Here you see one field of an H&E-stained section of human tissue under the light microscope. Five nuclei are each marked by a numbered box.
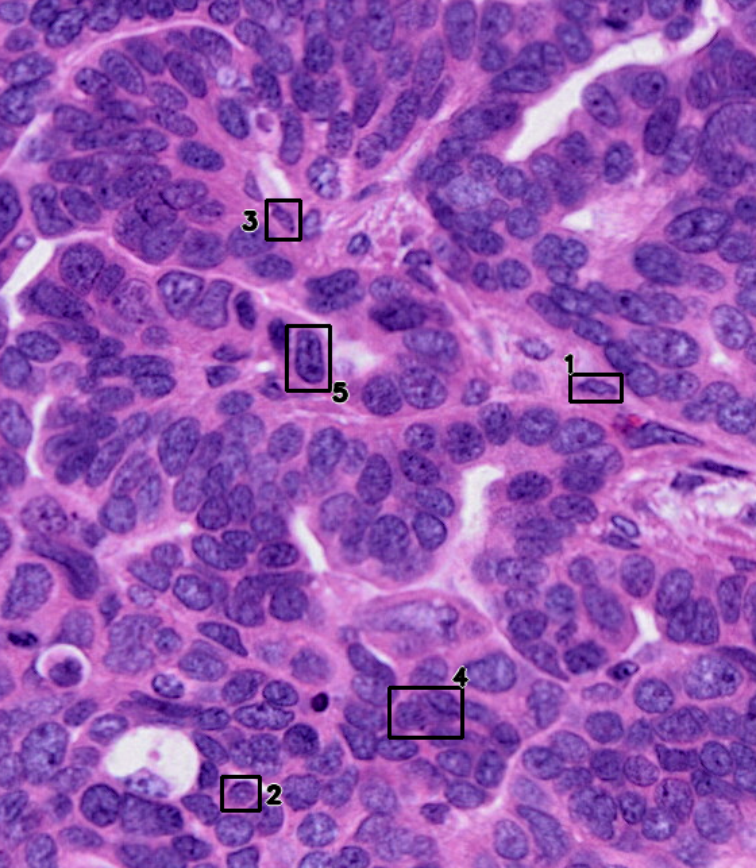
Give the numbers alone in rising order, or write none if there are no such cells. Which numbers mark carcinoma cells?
2, 4, 5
